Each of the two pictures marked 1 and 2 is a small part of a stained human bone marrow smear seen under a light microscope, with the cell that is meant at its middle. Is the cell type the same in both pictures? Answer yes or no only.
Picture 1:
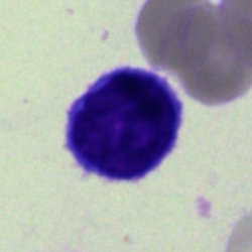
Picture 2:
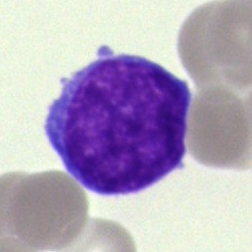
no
